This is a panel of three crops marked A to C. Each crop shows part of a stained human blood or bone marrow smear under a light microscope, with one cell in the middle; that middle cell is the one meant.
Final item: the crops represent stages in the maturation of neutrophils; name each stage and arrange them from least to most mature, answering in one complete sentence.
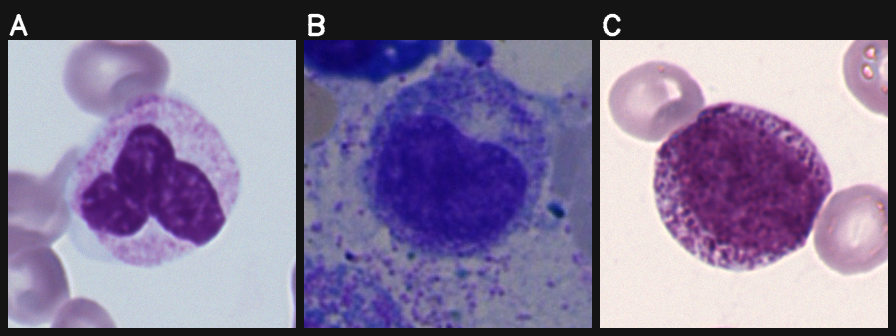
The correct order from least to most mature is crop C (a promyelocyte), crop B (a metamyelocyte) and crop A (a segmented neutrophil).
